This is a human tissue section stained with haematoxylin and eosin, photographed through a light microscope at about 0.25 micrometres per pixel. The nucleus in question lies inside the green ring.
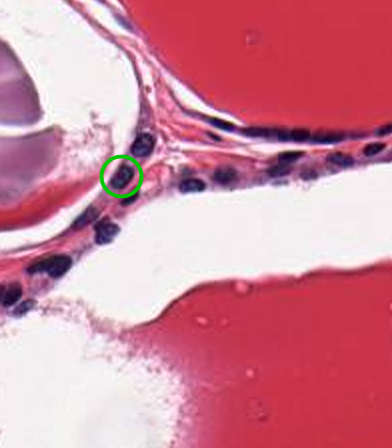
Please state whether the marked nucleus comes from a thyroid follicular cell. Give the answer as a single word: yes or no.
yes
